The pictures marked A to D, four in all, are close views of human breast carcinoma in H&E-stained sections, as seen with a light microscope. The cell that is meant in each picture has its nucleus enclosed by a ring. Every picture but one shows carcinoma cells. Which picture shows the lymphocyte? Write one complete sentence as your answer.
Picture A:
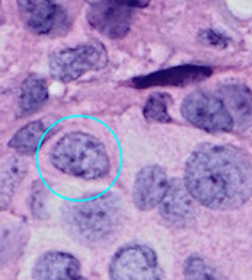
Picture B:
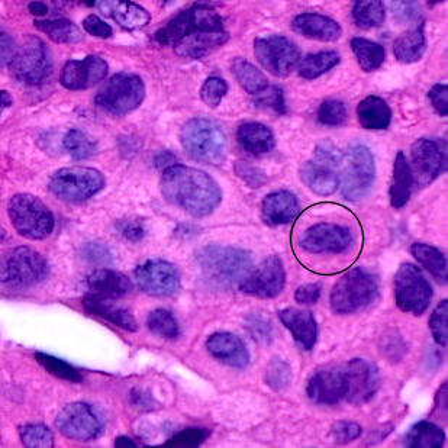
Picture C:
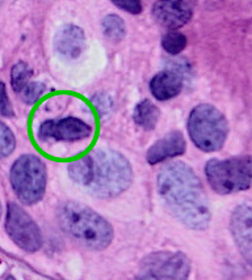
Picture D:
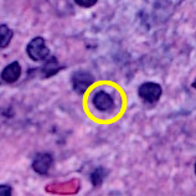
The picture with the lymphocyte is D.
